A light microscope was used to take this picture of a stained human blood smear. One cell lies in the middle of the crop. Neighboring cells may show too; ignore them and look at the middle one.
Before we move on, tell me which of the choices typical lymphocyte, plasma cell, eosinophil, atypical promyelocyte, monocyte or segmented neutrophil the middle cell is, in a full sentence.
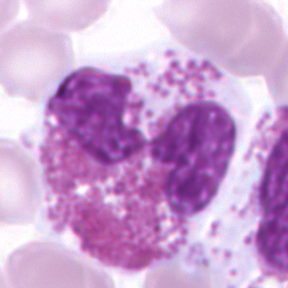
Positioned in the middle of the crop is an eosinophil.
